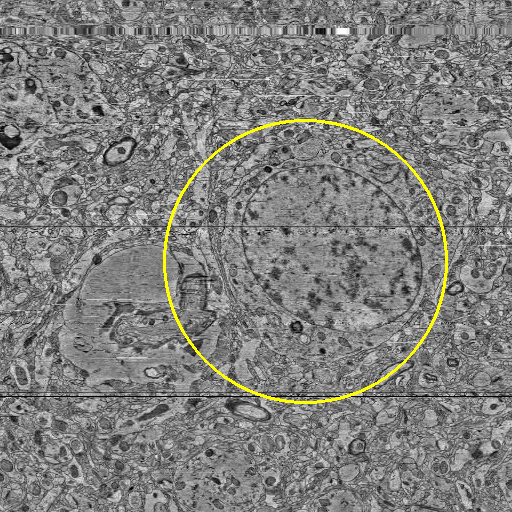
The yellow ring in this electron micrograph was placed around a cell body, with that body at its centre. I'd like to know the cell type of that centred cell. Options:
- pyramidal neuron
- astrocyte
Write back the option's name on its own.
pyramidal neuron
